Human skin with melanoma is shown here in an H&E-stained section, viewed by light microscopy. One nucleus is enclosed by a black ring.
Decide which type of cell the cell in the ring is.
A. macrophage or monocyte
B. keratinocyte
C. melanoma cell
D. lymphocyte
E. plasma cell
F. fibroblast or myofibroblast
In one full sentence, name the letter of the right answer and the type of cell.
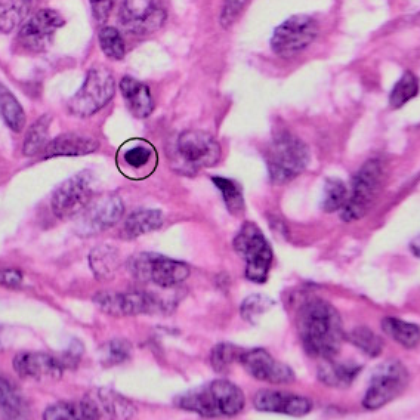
Option D stands as correct, with the cell in the ring being a lymphocyte.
